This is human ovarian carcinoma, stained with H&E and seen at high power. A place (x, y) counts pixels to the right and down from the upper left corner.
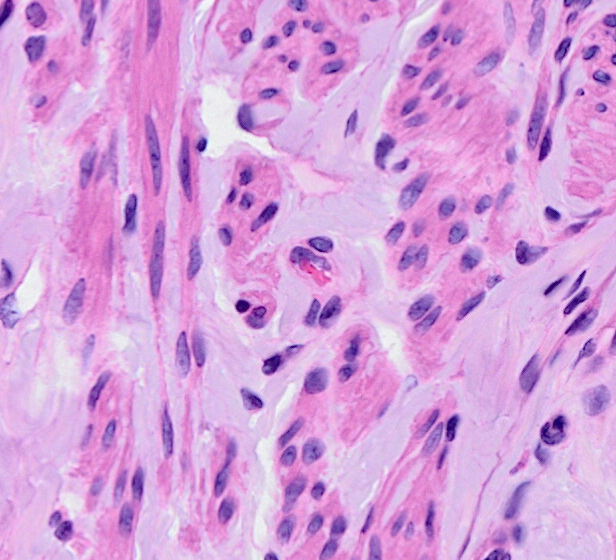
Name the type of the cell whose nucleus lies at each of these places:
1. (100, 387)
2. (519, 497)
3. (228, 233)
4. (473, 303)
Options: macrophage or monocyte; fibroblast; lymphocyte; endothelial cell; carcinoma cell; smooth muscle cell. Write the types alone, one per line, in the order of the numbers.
smooth muscle cell
fibroblast
smooth muscle cell
smooth muscle cell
